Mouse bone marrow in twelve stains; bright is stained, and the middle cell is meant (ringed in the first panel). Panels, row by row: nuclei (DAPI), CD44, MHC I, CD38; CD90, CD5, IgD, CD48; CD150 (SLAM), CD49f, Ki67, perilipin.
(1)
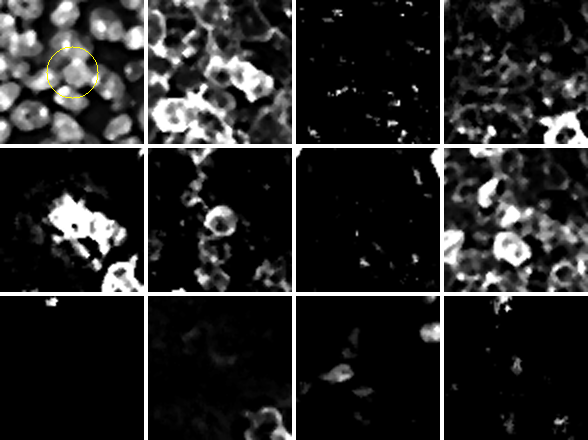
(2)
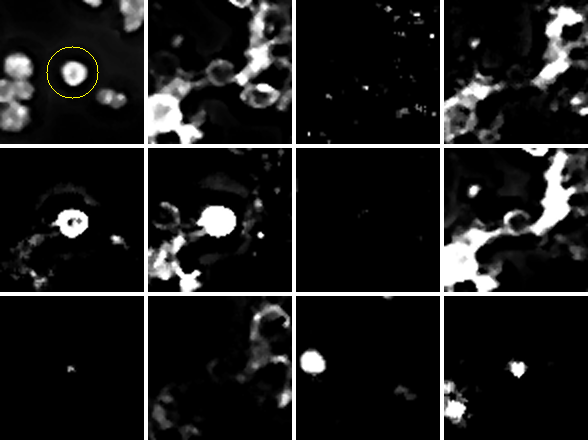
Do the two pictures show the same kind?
Yes, both are T cells.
